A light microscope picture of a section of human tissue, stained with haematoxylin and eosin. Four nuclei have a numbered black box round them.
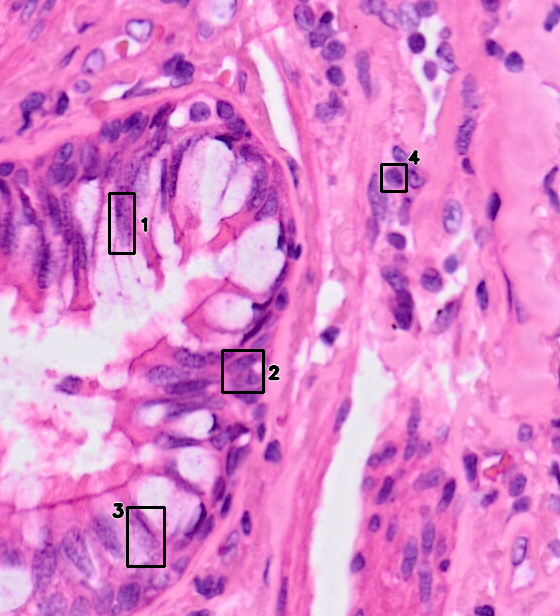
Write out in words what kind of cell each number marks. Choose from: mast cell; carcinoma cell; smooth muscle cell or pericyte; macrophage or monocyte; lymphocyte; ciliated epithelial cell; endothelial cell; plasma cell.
Cell 1 is a ciliated epithelial cell, cell 2 is a ciliated epithelial cell, cell 3 is a ciliated epithelial cell and cell 4 is a lymphocyte.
